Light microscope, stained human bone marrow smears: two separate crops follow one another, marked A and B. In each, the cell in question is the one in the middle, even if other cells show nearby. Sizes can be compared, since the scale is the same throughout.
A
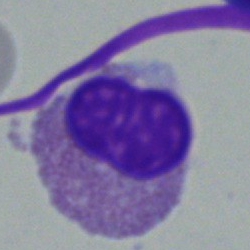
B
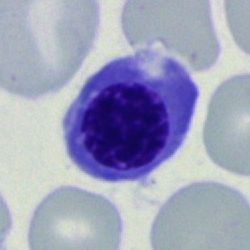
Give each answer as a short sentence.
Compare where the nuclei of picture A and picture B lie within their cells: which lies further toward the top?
It is the nucleus in picture A that lies further toward the top of its cell.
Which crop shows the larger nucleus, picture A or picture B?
It is the nucleus in picture A, about 1.5 times as large in area as the one in picture B.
